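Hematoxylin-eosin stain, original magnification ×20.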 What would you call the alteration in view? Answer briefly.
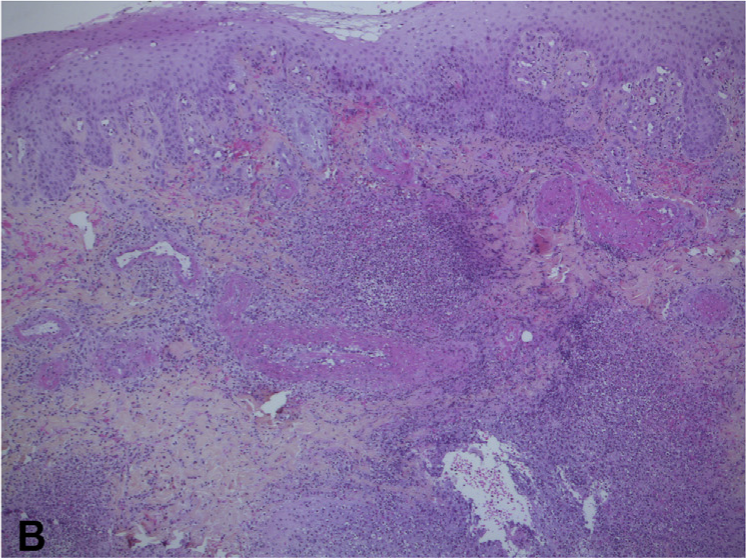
Dense inflammatory infiltrate within the dermis.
